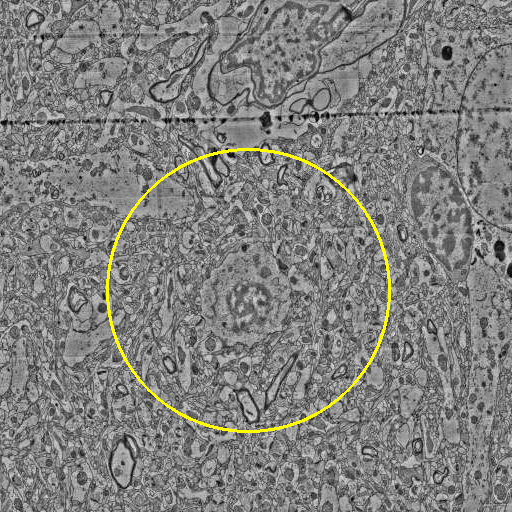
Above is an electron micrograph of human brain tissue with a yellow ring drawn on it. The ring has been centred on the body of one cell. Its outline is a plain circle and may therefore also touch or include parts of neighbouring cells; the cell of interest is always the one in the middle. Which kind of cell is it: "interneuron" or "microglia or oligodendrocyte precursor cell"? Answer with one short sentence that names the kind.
The ring's central cell body is that of an interneuron.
